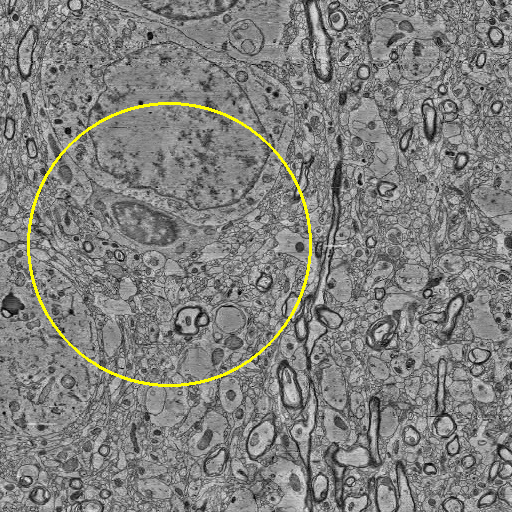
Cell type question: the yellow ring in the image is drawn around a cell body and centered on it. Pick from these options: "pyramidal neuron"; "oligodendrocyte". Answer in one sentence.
The ringed cell at the center is an oligodendrocyte.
